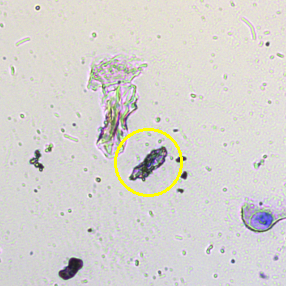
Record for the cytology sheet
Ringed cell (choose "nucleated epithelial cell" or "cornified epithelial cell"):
cornified epithelial cell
